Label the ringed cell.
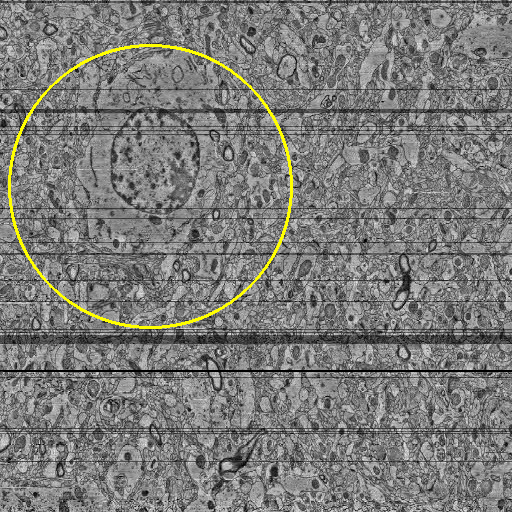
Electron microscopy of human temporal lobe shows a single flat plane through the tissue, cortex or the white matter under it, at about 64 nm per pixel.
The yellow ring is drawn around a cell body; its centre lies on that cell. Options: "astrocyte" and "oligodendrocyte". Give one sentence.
The ringed cell is an astrocyte.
